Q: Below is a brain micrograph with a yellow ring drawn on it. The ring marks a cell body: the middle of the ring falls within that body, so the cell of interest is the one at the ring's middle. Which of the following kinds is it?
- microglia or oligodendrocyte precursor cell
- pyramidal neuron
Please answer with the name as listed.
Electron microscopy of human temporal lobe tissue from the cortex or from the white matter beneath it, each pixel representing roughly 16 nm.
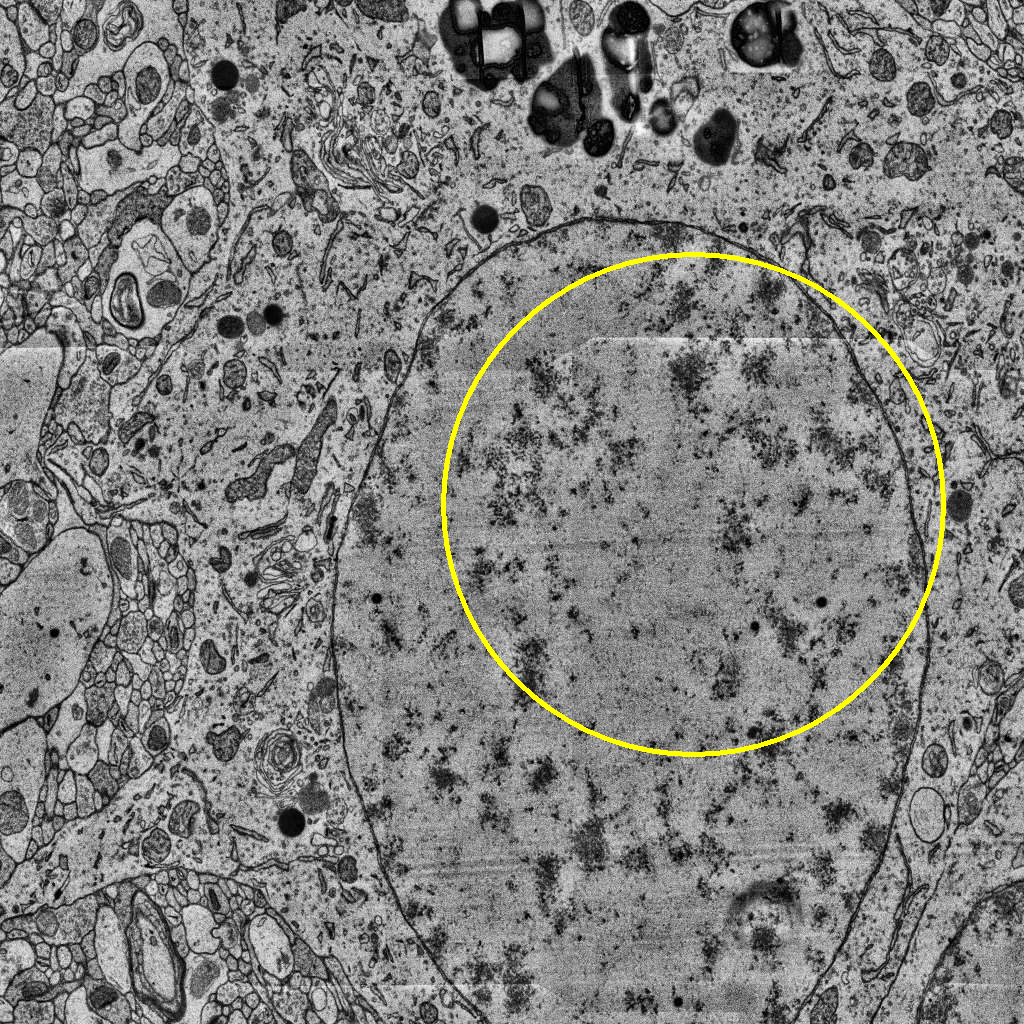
pyramidal neuron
